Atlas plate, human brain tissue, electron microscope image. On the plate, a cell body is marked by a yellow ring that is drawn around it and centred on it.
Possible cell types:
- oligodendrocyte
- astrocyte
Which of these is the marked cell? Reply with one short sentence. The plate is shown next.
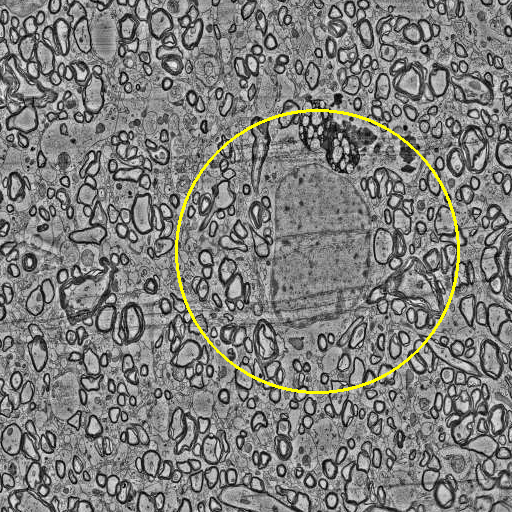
The marked cell is an astrocyte.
